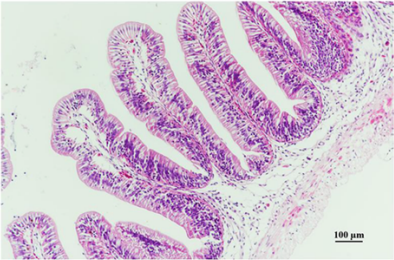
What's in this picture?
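Intestinal wall with tall, finger-like villi projecting into a clear lumen, some branching or folded against one another. Each villus is covered by a tall epithelial layer whose elongated nuclei stain dense purple and crowd toward the base of the cells, leaving a pinker apical band along the surface. The villus cores hold looser pale-pink connective tissue with scattered nuclei. Beneath the villi lies a thin band of pink, fibrous connective and muscular tissue with sparse flattened nuclei, forming the outer wall.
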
